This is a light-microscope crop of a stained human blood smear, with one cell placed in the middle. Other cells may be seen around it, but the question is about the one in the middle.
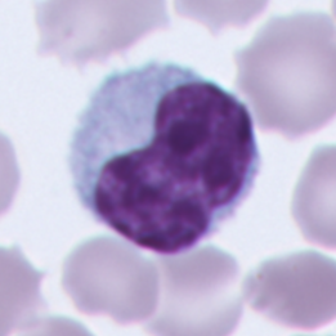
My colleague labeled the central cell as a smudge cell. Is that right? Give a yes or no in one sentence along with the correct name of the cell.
No, the centred cell is a typical lymphocyte, and it is not a smudge cell.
